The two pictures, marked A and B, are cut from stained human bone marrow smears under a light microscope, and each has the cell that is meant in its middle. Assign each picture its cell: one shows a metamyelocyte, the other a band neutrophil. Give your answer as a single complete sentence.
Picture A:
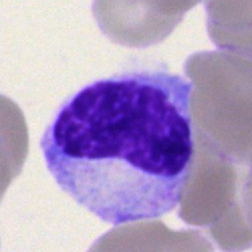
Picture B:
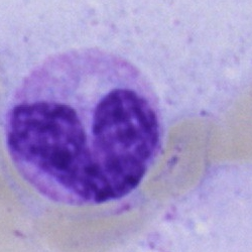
The cell in picture A is a metamyelocyte, and the one in picture B is a band neutrophil.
